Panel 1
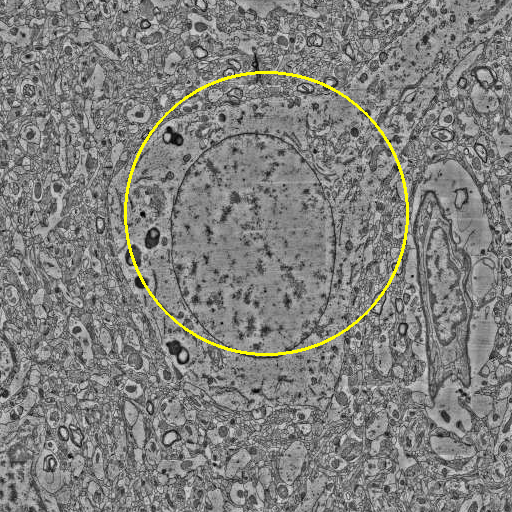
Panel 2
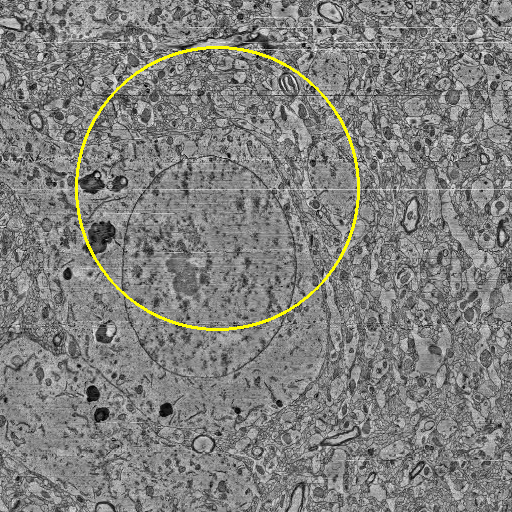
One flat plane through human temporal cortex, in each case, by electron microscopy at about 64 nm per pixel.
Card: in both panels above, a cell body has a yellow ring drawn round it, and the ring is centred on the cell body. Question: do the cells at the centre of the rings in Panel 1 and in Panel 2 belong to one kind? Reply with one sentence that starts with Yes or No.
Yes, the cells centred in the rings of Panel 1 and Panel 2 are one kind of cell.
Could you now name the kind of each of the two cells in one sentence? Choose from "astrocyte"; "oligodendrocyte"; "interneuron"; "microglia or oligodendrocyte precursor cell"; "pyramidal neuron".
Each cell, in the first picture and the second, is a pyramidal neuron.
